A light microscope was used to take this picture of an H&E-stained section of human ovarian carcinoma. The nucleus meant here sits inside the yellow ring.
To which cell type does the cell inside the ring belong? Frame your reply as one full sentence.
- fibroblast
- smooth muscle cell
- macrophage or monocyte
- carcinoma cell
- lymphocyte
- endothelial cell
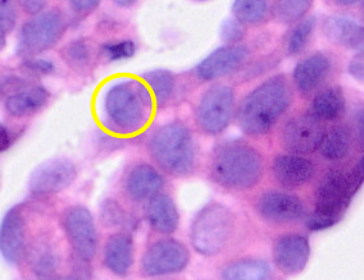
In this section, the cell inside the ring is a carcinoma cell.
